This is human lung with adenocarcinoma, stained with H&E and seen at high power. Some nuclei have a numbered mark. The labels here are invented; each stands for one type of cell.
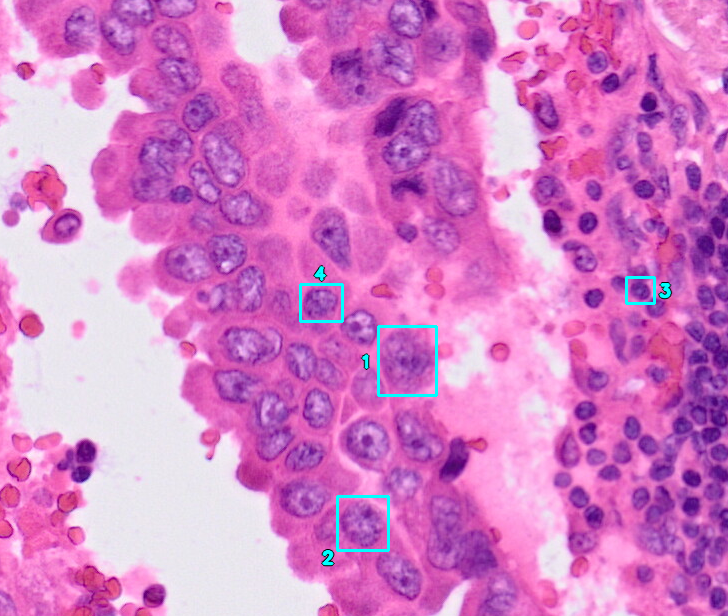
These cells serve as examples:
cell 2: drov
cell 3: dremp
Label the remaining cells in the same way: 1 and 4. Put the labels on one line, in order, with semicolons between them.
drov; drov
